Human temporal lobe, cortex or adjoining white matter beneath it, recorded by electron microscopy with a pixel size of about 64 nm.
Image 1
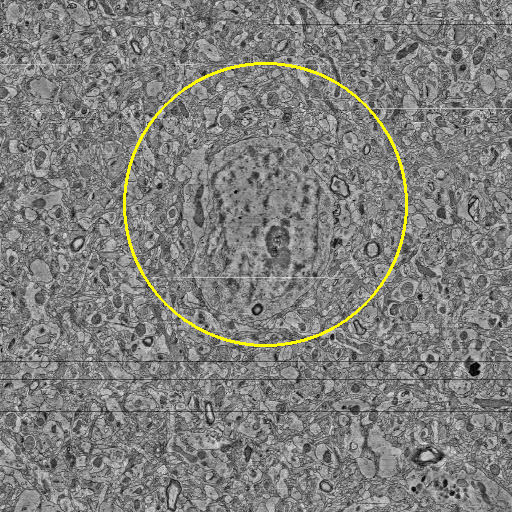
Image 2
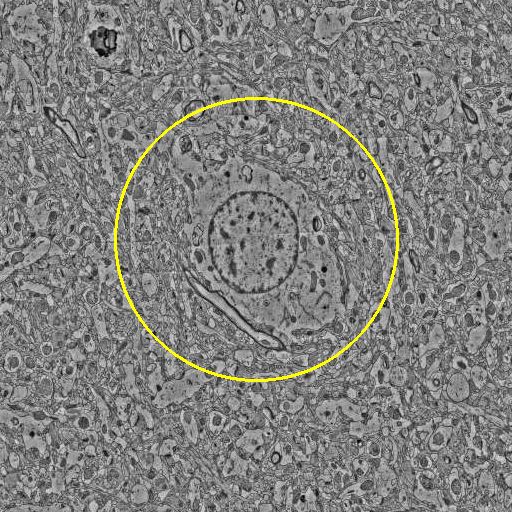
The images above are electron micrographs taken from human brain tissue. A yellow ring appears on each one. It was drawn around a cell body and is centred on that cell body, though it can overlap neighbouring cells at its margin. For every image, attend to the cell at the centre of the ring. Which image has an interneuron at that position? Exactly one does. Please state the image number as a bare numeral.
1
